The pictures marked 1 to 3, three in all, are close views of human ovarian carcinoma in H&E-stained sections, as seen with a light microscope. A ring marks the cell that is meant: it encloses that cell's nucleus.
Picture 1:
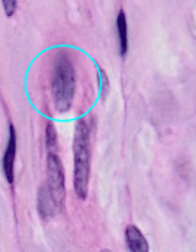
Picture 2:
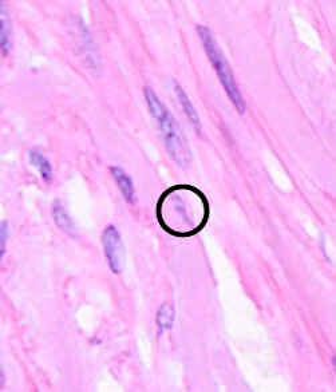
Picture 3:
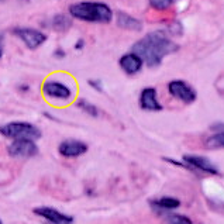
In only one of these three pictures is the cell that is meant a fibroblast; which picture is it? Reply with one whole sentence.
The picture with the fibroblast is 2.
